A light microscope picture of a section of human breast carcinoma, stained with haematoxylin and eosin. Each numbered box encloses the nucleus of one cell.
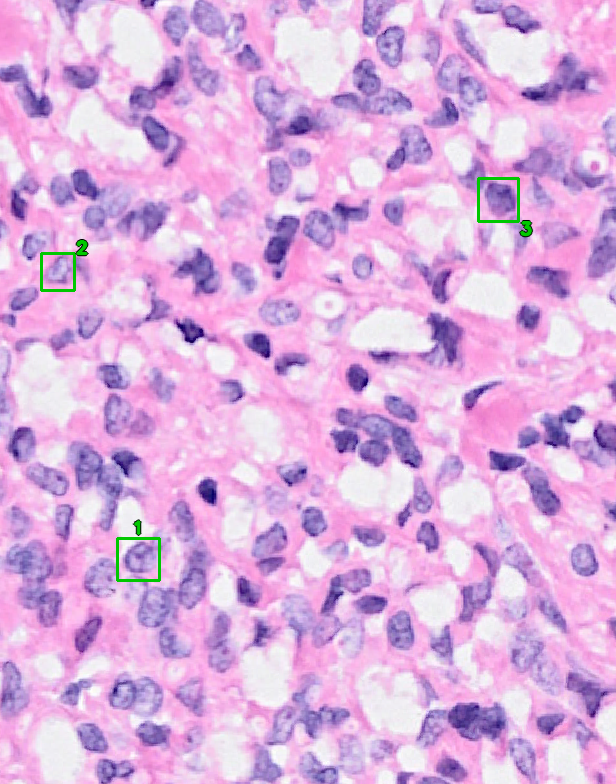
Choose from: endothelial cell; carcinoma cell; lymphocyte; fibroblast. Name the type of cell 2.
endothelial cell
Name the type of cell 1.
carcinoma cell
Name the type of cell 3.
carcinoma cell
